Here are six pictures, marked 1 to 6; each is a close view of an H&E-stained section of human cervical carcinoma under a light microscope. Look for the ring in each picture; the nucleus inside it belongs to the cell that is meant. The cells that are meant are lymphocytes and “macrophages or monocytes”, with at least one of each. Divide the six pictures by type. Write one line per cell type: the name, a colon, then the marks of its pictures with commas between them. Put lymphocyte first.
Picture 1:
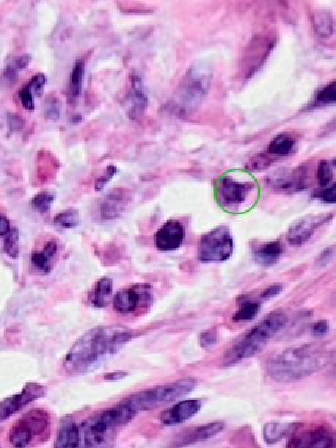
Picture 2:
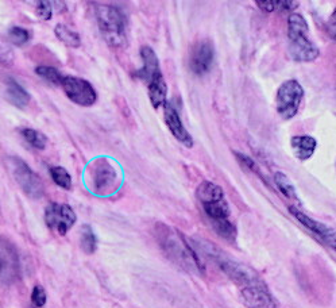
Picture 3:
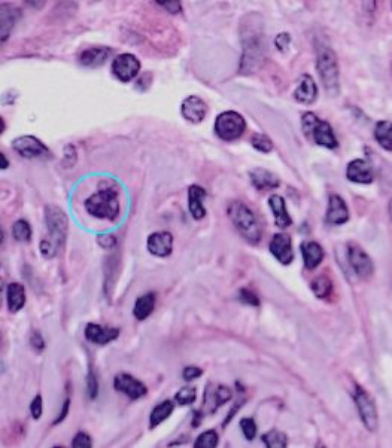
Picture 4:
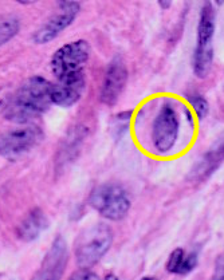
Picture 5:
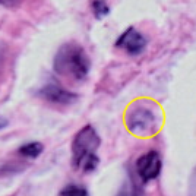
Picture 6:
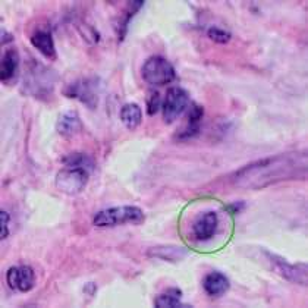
lymphocyte: 3, 6
macrophage or monocyte: 1, 2, 4, 5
